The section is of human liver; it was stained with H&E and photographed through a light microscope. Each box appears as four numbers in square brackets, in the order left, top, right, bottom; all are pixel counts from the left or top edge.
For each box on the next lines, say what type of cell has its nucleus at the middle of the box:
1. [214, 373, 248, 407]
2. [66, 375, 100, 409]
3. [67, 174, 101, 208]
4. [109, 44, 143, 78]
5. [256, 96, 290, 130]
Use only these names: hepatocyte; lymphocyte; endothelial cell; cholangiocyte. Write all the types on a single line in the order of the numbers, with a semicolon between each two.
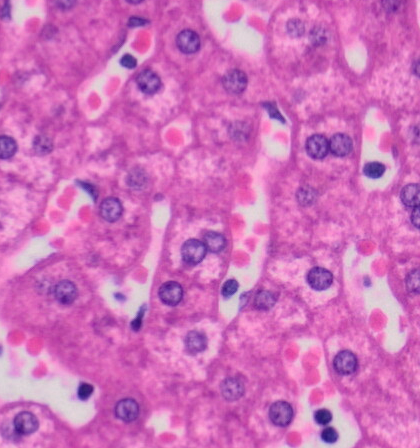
hepatocyte; lymphocyte; endothelial cell; lymphocyte; endothelial cell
